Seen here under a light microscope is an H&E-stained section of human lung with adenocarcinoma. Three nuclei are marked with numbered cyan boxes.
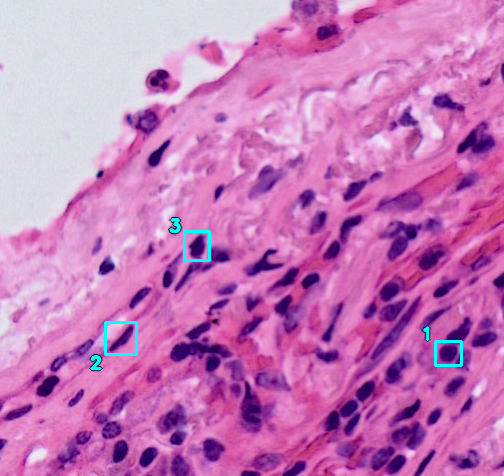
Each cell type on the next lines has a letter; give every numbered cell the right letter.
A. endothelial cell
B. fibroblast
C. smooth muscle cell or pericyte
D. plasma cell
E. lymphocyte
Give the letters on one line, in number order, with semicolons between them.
E; A; E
